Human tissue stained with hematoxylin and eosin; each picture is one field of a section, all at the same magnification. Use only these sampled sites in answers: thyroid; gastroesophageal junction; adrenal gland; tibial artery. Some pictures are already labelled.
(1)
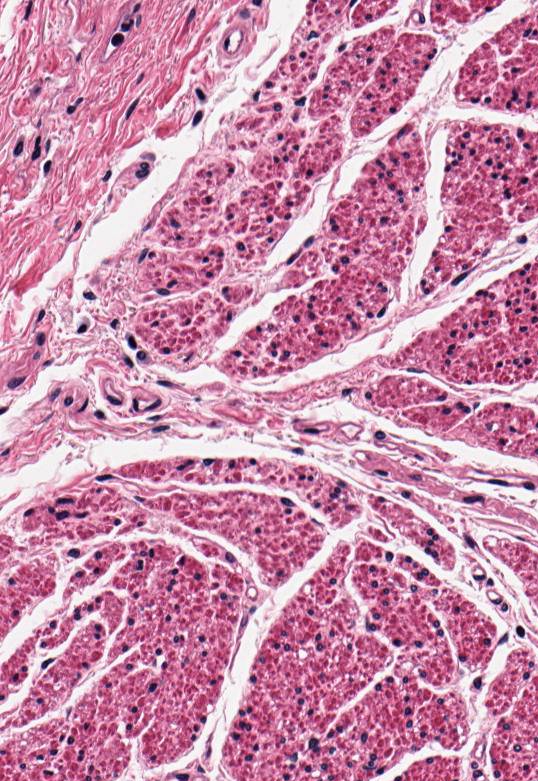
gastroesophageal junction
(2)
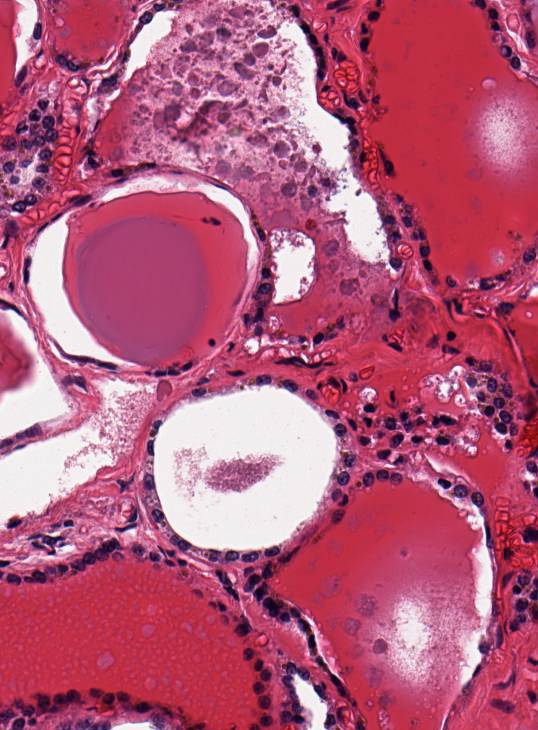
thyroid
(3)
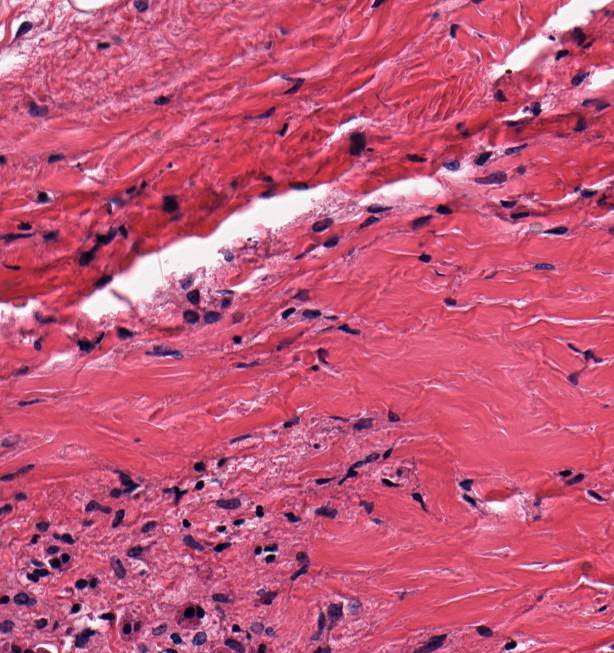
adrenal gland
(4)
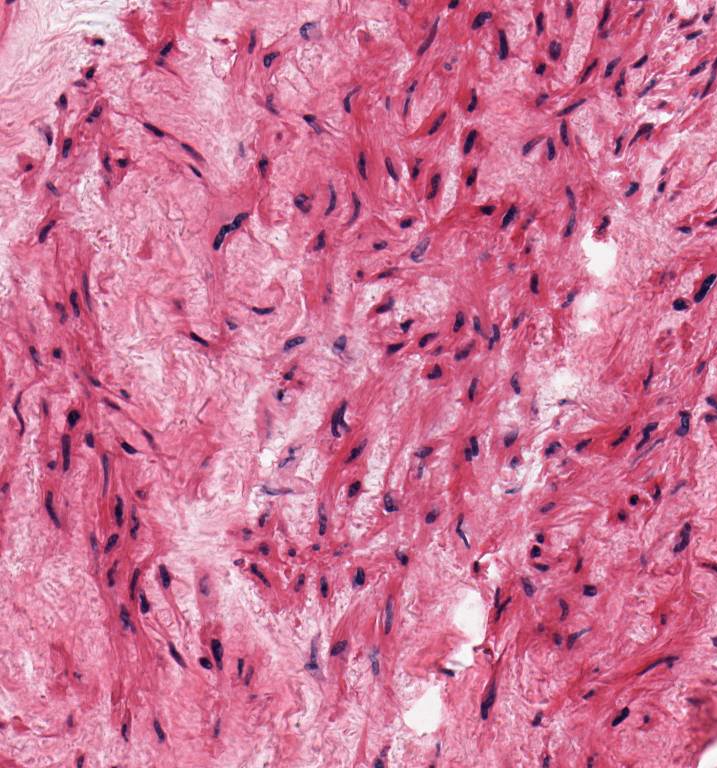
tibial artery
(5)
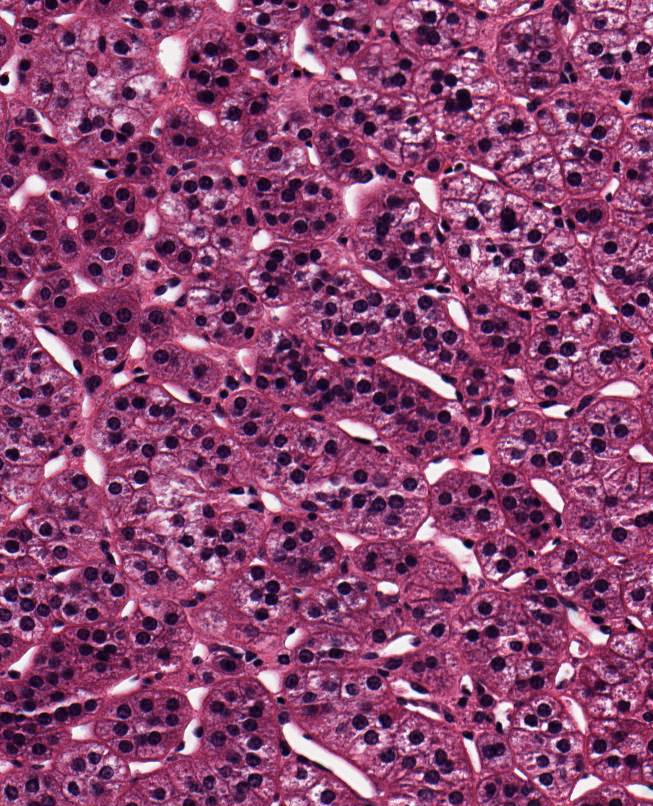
adrenal gland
